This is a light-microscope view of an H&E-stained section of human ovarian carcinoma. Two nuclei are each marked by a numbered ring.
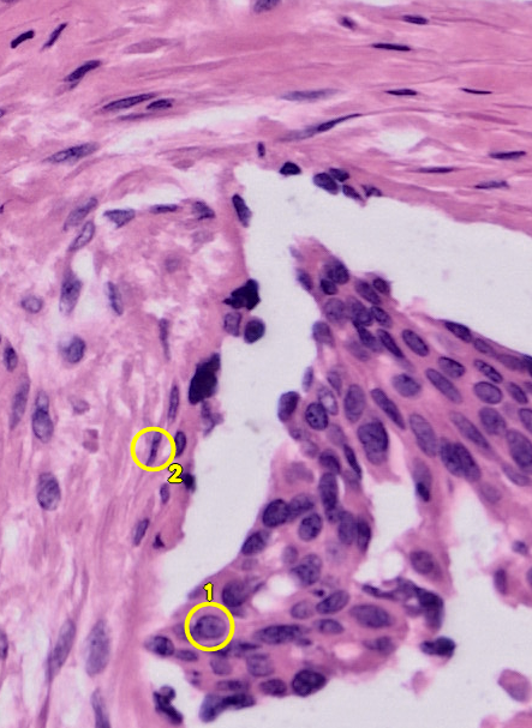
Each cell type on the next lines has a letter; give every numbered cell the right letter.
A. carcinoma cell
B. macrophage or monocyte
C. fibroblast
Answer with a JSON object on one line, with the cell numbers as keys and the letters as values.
{"1": "B", "2": "C"}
